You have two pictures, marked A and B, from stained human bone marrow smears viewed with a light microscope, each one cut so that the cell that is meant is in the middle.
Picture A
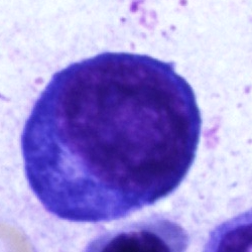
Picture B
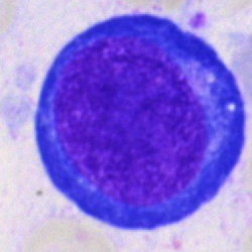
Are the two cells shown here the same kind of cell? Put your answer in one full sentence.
Yes, both cells are proerythroblasts.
